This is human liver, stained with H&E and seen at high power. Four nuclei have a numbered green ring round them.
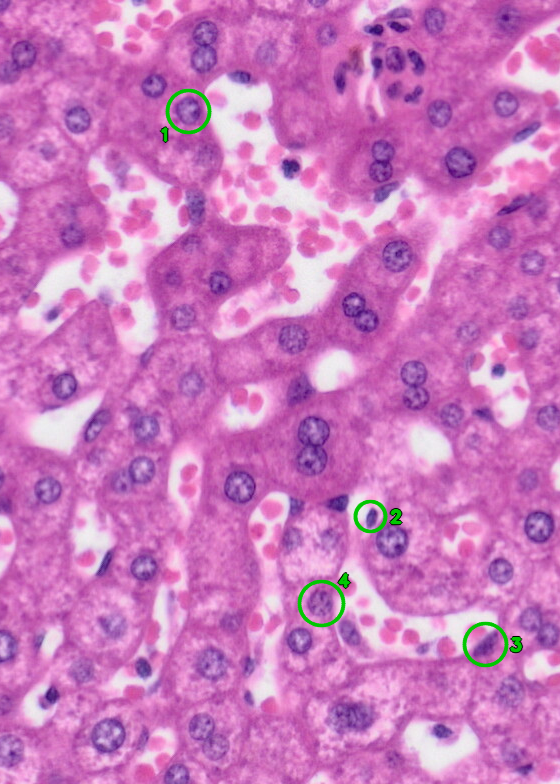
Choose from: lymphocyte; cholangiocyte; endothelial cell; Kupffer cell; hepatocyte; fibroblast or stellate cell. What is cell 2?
lymphocyte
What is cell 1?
hepatocyte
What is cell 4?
hepatocyte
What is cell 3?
endothelial cell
